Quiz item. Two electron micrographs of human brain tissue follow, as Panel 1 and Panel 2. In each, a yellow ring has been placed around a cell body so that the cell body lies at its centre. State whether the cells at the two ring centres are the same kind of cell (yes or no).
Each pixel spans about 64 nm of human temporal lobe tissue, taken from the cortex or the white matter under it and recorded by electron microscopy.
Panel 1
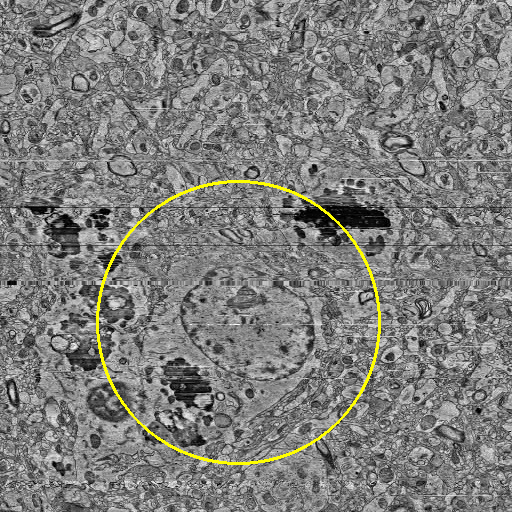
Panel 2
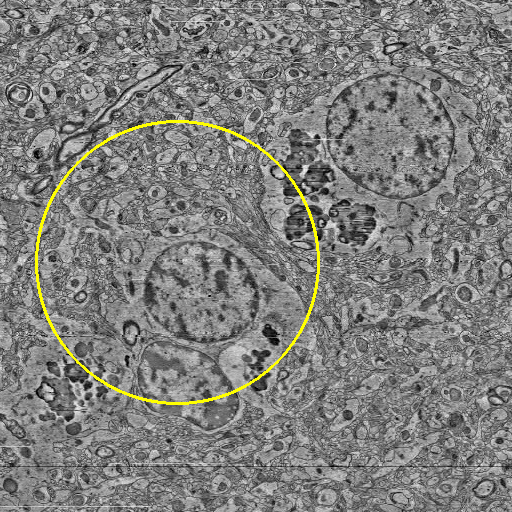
yes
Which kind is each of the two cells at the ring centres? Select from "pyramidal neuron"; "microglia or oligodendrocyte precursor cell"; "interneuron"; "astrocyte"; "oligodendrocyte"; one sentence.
In each of the two pictures, the ringed cell is an astrocyte.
